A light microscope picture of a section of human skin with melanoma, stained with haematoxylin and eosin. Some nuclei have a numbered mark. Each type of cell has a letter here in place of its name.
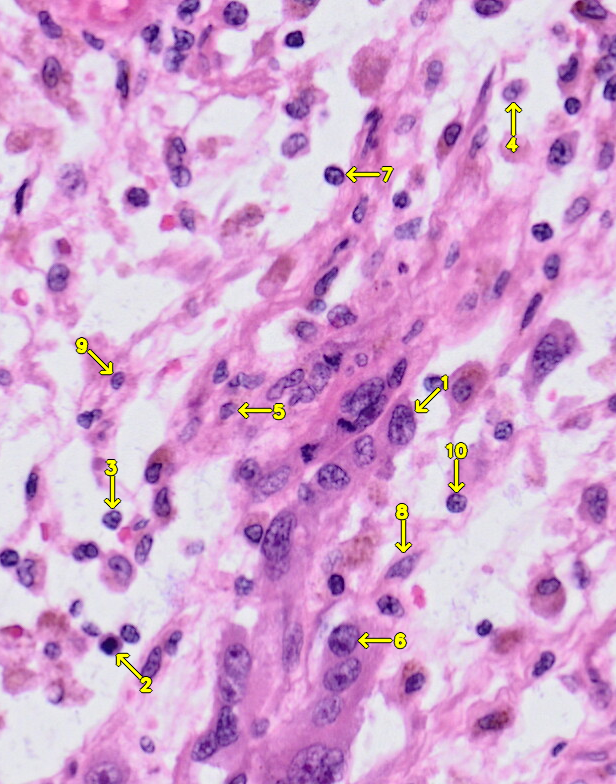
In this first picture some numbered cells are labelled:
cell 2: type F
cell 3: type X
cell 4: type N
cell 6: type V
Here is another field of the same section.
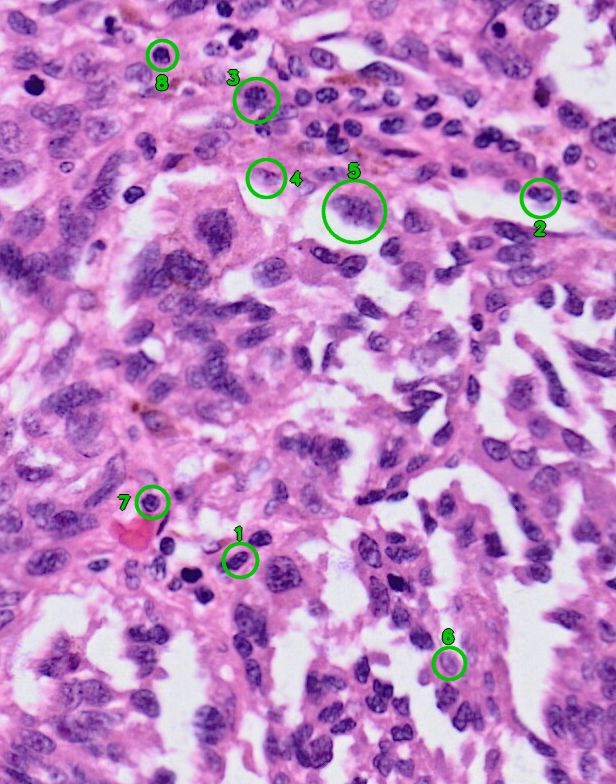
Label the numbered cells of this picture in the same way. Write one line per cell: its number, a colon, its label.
1: type X
2: type X
3: type F
4: type N
5: type V
6: type V
7: type X
8: type X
